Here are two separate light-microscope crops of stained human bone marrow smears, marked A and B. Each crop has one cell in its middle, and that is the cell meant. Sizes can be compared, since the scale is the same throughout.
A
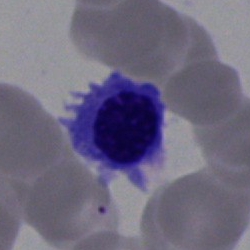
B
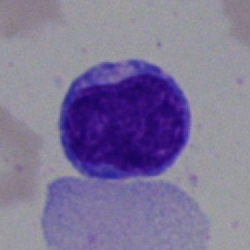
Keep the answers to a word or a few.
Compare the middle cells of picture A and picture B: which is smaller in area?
A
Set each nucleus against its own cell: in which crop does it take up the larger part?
B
